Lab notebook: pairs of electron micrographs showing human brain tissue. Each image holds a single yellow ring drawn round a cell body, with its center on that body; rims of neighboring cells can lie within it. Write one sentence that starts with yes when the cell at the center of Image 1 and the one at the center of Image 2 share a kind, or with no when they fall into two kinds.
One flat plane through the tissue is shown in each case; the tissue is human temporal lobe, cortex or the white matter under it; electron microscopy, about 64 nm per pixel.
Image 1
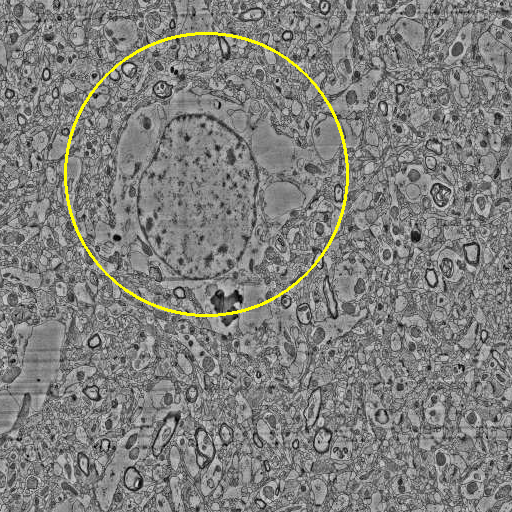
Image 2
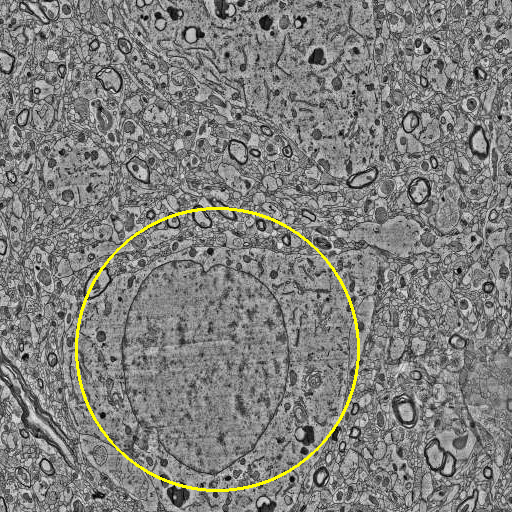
No, the centered cell in Image 1 and the centered cell in Image 2 are of two kinds.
